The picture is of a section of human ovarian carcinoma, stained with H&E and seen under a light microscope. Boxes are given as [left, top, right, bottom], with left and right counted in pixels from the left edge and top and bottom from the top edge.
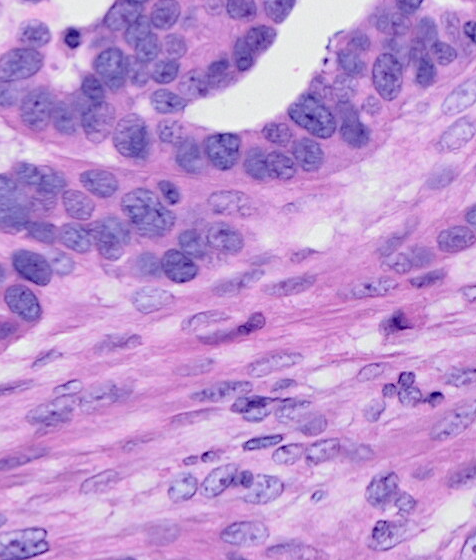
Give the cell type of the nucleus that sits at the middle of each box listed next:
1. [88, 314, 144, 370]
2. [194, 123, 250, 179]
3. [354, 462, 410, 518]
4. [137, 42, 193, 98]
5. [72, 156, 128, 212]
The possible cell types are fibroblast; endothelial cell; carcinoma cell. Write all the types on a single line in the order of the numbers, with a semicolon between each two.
fibroblast; carcinoma cell; fibroblast; carcinoma cell; carcinoma cell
